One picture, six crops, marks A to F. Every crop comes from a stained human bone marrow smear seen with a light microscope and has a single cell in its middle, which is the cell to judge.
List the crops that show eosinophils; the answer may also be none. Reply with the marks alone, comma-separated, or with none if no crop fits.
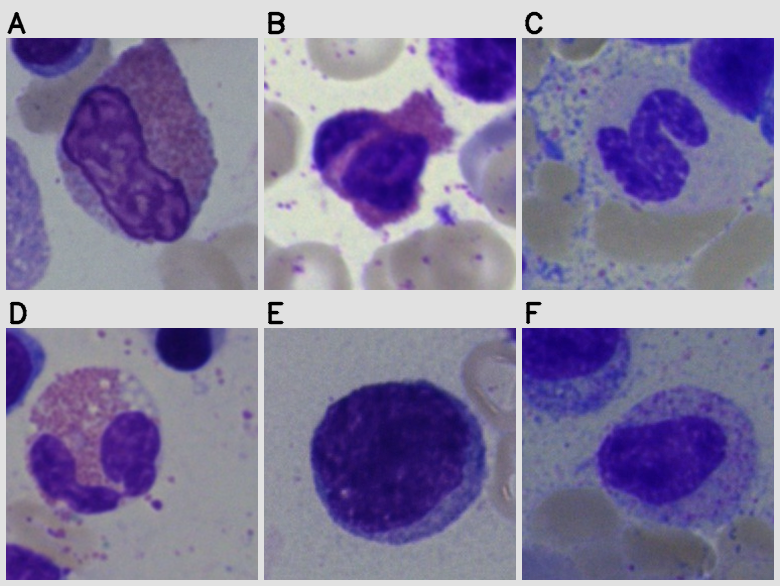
A, B, D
